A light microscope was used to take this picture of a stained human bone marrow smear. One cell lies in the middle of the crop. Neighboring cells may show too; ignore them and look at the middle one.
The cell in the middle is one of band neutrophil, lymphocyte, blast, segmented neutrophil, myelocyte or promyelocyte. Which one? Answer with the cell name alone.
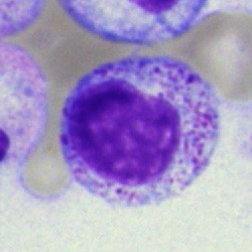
myelocyte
